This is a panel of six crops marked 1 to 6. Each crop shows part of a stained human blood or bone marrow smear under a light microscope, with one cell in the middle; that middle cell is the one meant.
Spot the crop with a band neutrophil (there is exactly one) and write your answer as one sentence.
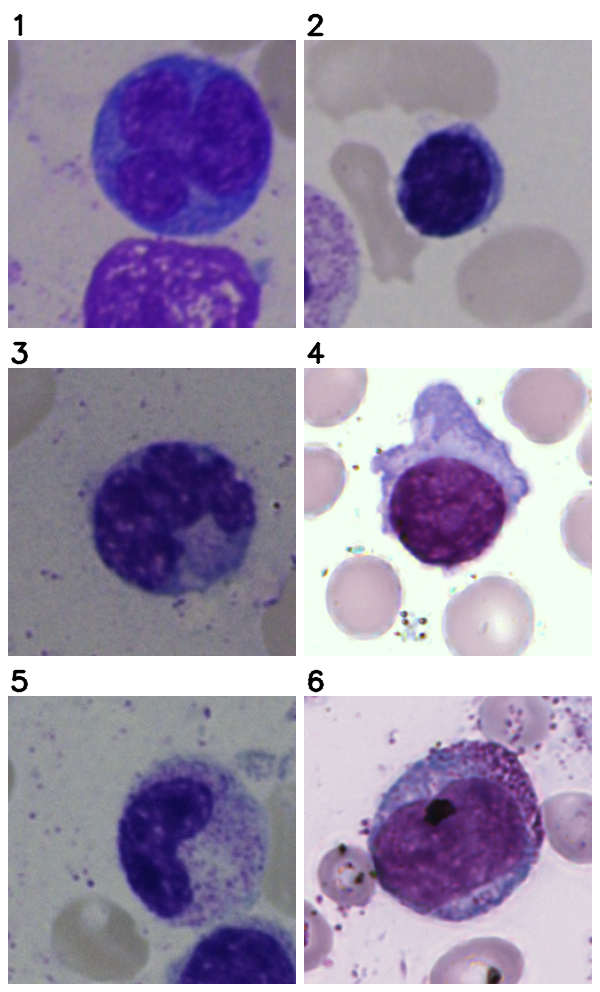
Crop 5 is the one depicting a band neutrophil.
